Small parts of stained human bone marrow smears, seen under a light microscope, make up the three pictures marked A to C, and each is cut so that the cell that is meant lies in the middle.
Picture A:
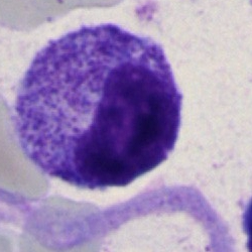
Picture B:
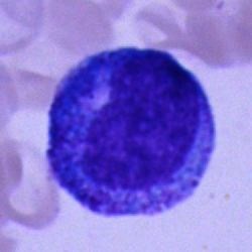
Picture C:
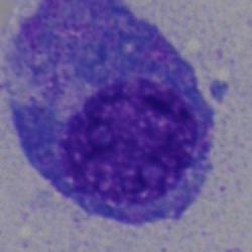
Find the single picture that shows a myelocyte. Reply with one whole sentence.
The myelocyte is the one in picture A.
